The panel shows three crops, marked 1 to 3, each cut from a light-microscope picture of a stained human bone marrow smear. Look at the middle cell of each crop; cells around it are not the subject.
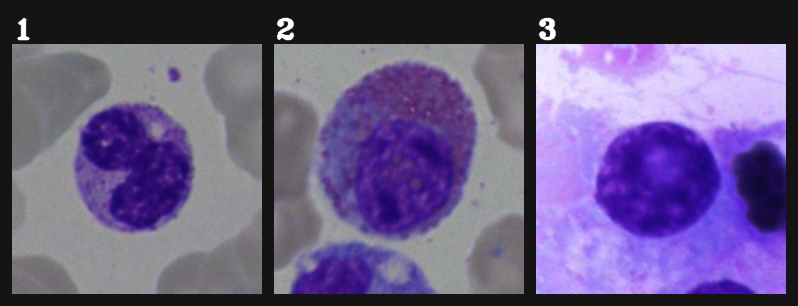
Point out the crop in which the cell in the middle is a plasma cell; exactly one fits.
3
